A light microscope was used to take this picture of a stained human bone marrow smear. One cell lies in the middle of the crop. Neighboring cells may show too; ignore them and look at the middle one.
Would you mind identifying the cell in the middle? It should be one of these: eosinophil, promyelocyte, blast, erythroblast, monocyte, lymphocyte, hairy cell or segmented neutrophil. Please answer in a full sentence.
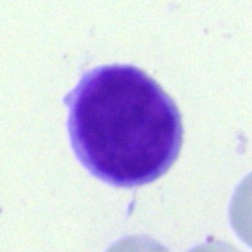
Centrally within this crop lies a lymphocyte.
